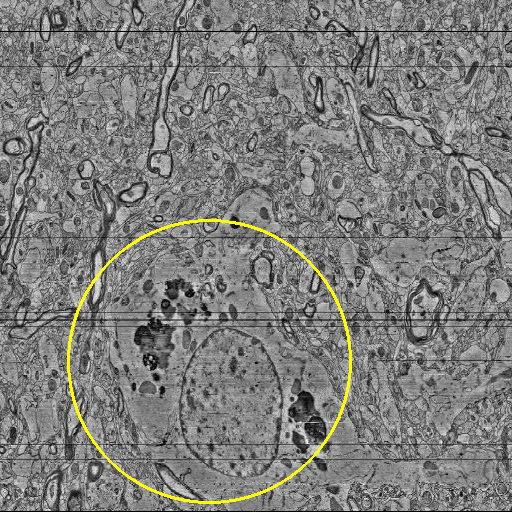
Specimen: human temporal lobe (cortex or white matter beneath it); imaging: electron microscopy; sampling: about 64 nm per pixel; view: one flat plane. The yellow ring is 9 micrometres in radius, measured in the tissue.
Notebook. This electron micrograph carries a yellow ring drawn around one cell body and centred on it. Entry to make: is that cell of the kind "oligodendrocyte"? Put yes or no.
no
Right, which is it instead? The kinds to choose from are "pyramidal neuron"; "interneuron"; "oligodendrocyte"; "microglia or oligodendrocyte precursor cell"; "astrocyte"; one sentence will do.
The answer is that the ringed cell is an astrocyte.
